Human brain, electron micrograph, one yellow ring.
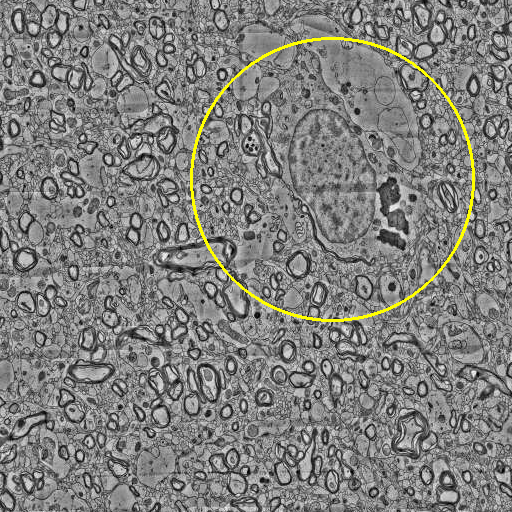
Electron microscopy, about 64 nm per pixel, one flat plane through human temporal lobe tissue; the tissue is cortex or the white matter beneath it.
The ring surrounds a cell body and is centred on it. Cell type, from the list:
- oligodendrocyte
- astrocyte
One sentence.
The yellow ring circles an oligodendrocyte.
